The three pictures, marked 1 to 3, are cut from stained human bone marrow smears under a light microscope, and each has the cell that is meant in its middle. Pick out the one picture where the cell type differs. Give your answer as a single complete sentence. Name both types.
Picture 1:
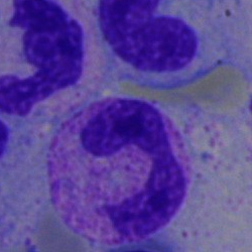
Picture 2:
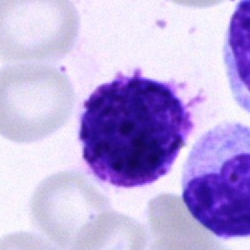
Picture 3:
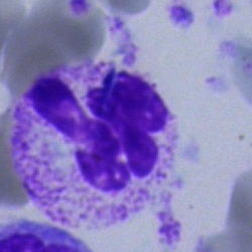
The others show segmented neutrophils, but picture 2 shows a basophil.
